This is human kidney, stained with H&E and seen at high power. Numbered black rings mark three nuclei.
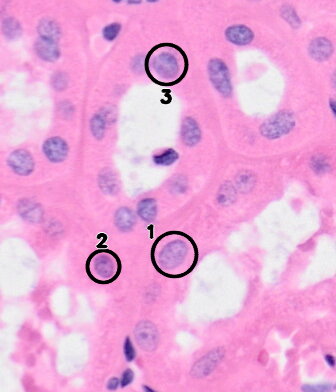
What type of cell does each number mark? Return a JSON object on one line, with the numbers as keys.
{"1": "proximal tubule cell", "2": "proximal tubule cell", "3": "loop of Henle or distal tubule cell"}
